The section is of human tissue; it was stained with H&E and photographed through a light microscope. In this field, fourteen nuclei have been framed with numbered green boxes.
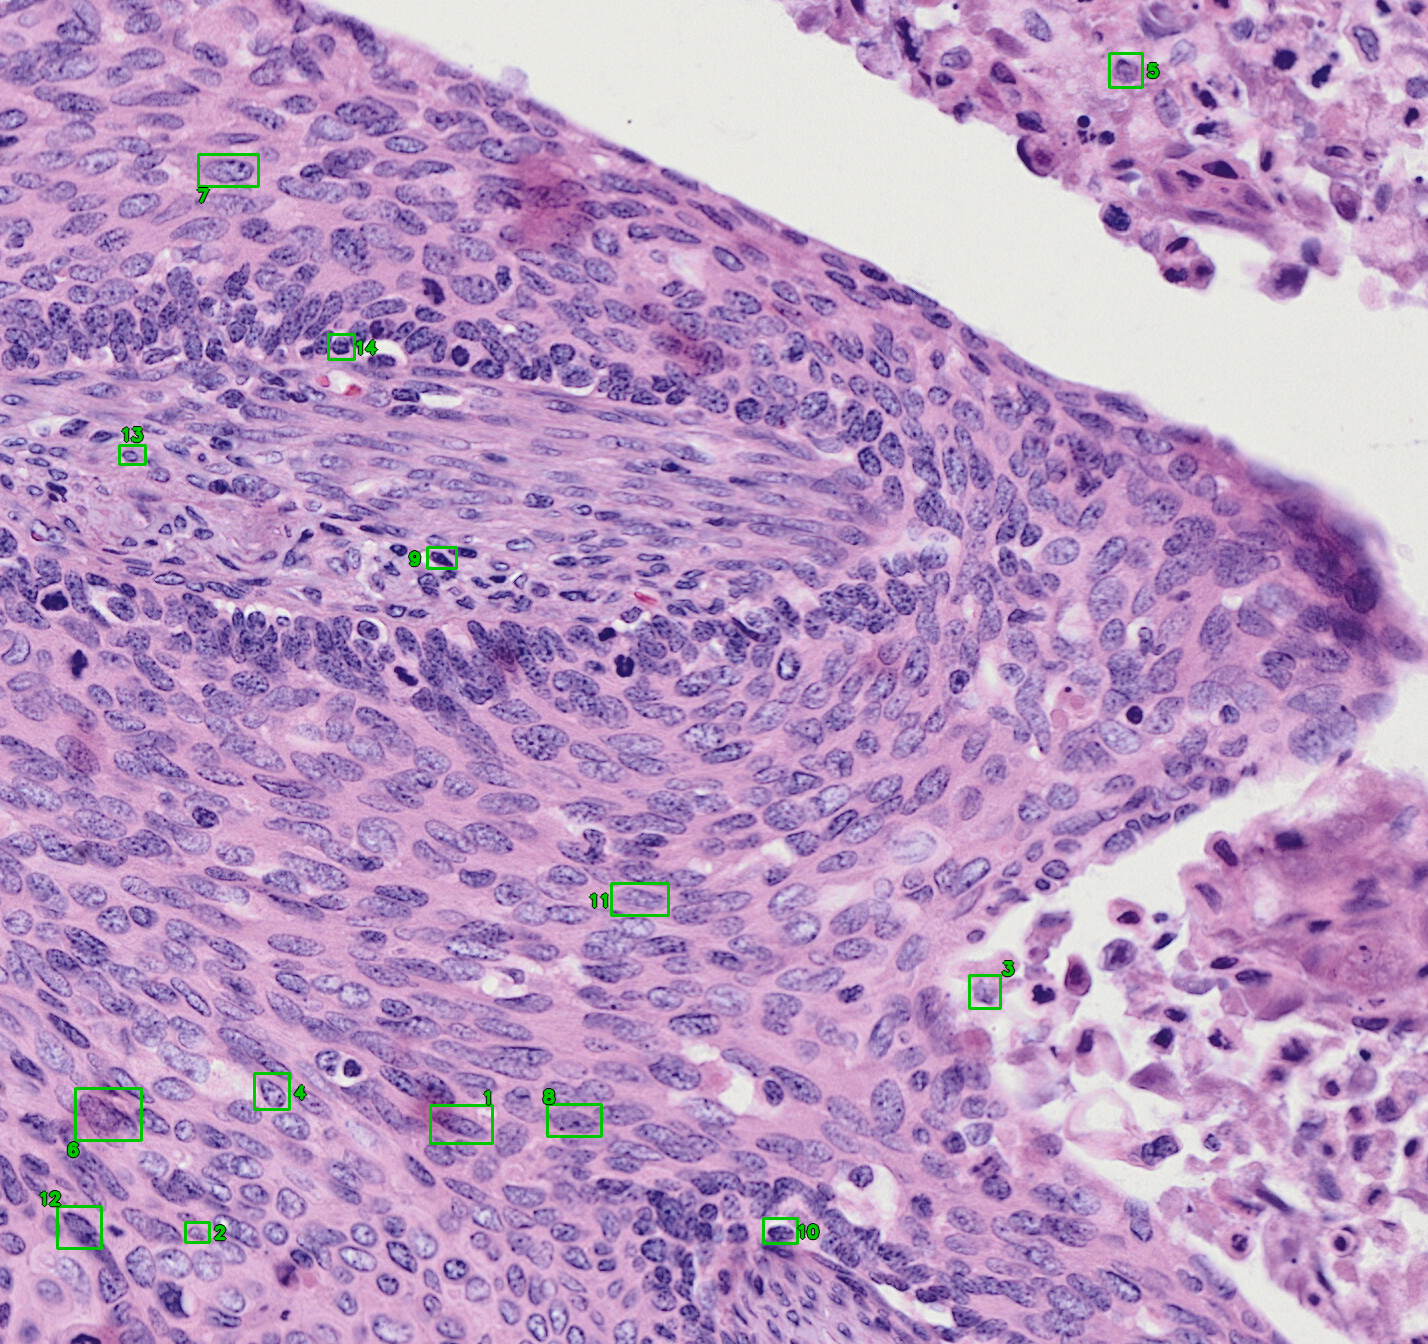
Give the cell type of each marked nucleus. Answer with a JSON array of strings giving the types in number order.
["squamous carcinoma cell", "squamous carcinoma cell", "macrophage or monocyte", "squamous carcinoma cell", "macrophage or monocyte", "squamous carcinoma cell", "squamous carcinoma cell", "squamous carcinoma cell", "lymphocyte", "lymphocyte", "squamous carcinoma cell", "squamous carcinoma cell", "smooth muscle cell", "lymphocyte"]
